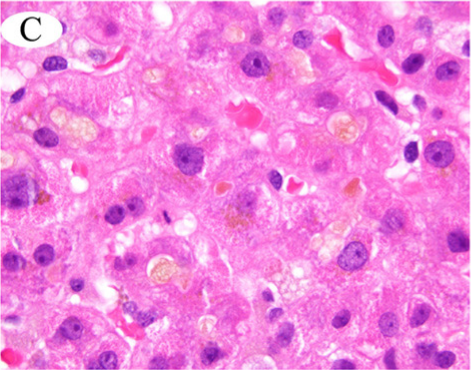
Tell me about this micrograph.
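Hepatocytes at very high magnification appear as large polygonal cells with round nuclei, some with prominent nucleoli, and pale pink, finely feathery cytoplasm. Pale yellow to brownish globular pigment lies within the cytoplasm of several hepatocytes and also as small plugs between adjacent cells. Red blood cells are visible in the narrow spaces between the cell plates.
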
